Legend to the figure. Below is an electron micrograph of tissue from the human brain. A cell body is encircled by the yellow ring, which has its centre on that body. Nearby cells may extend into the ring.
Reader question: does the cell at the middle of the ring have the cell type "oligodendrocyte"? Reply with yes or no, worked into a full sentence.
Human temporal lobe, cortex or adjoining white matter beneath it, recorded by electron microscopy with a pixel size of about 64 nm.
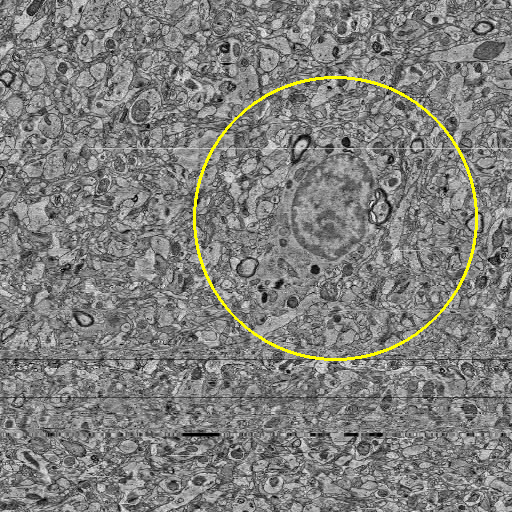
Yes, the cell sitting at the middle of the ring in the picture has that cell type.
